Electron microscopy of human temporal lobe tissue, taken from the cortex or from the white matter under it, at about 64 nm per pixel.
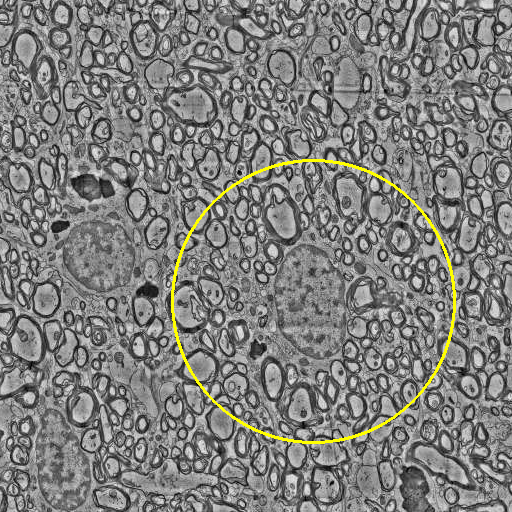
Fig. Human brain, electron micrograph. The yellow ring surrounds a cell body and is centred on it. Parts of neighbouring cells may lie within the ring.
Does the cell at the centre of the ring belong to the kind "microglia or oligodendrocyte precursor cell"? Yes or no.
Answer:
no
